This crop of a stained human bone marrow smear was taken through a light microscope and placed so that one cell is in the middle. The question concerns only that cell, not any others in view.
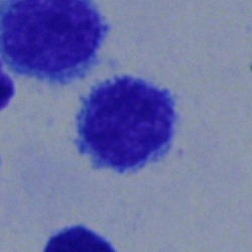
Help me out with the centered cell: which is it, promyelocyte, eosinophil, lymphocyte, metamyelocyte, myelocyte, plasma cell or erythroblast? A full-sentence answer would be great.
Looking at the middle of the crop, the cell there is a lymphocyte.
